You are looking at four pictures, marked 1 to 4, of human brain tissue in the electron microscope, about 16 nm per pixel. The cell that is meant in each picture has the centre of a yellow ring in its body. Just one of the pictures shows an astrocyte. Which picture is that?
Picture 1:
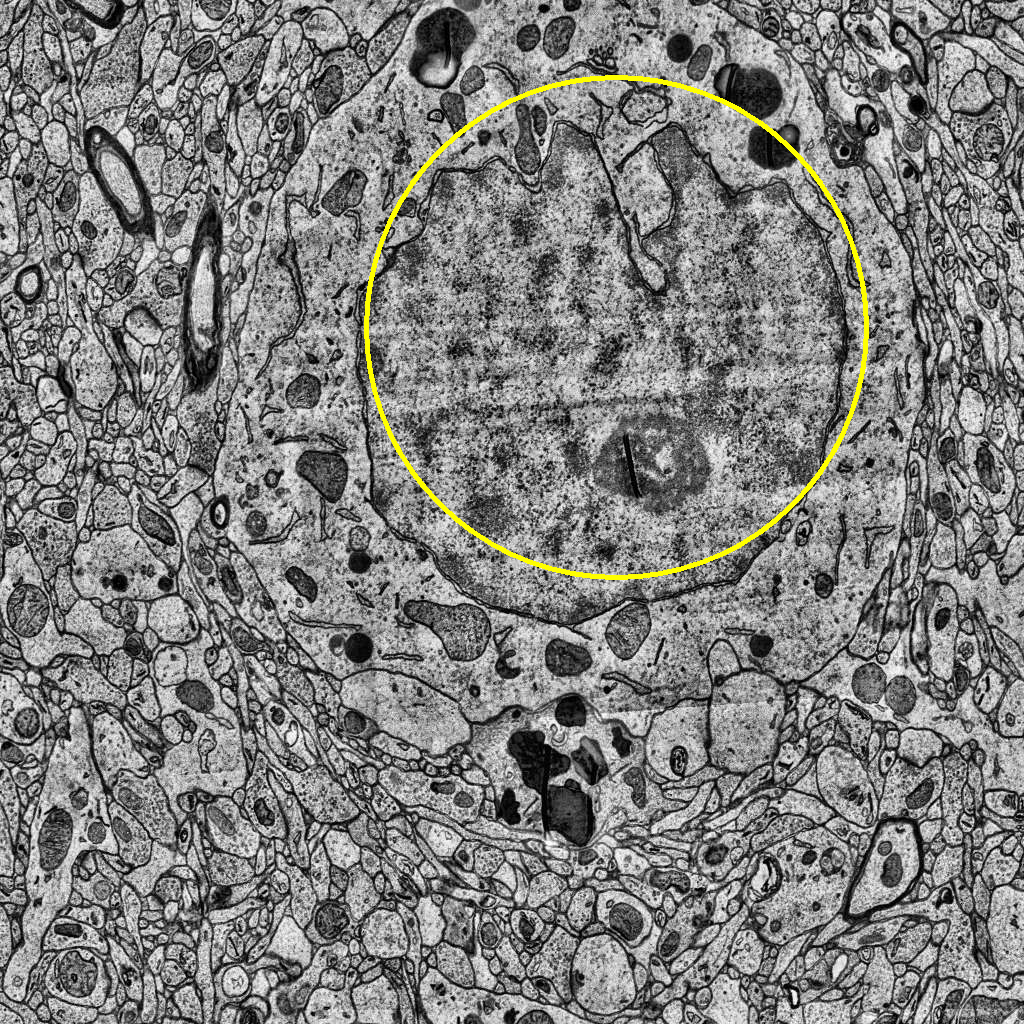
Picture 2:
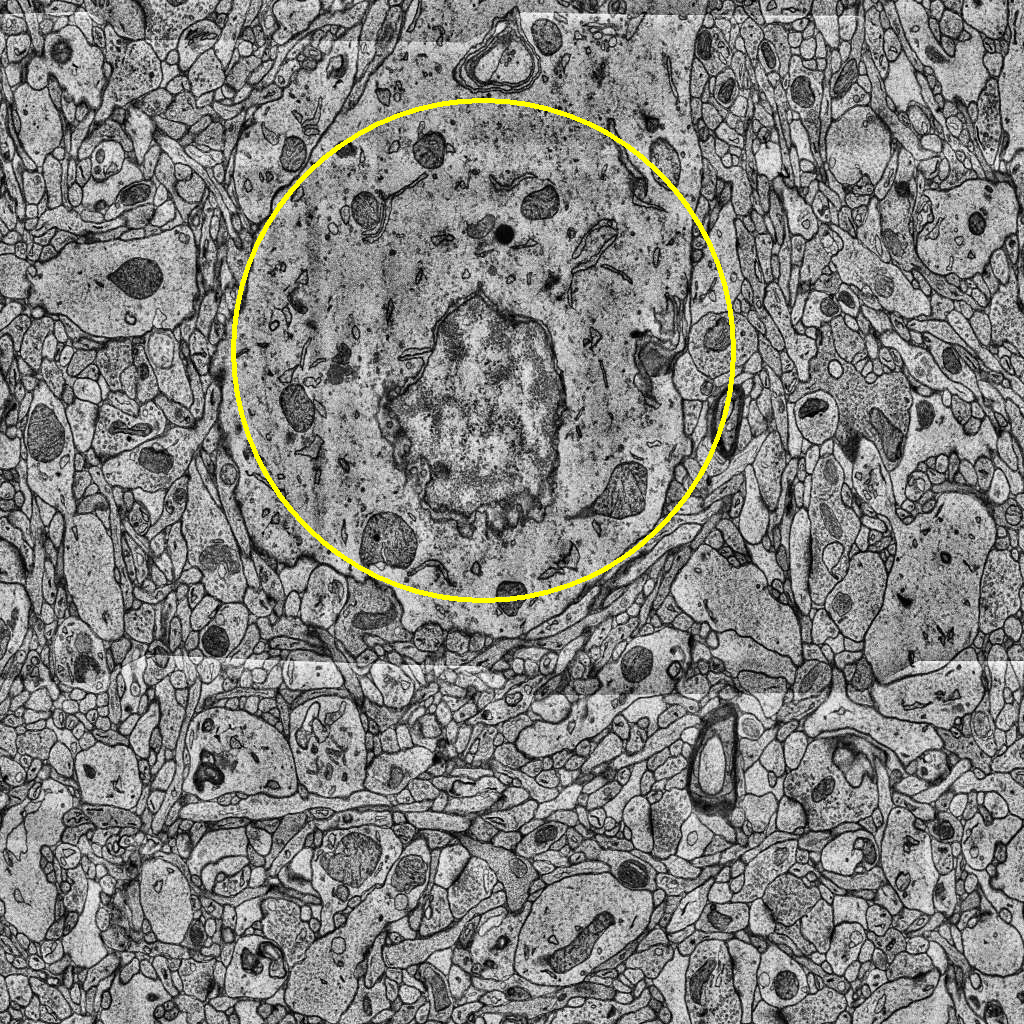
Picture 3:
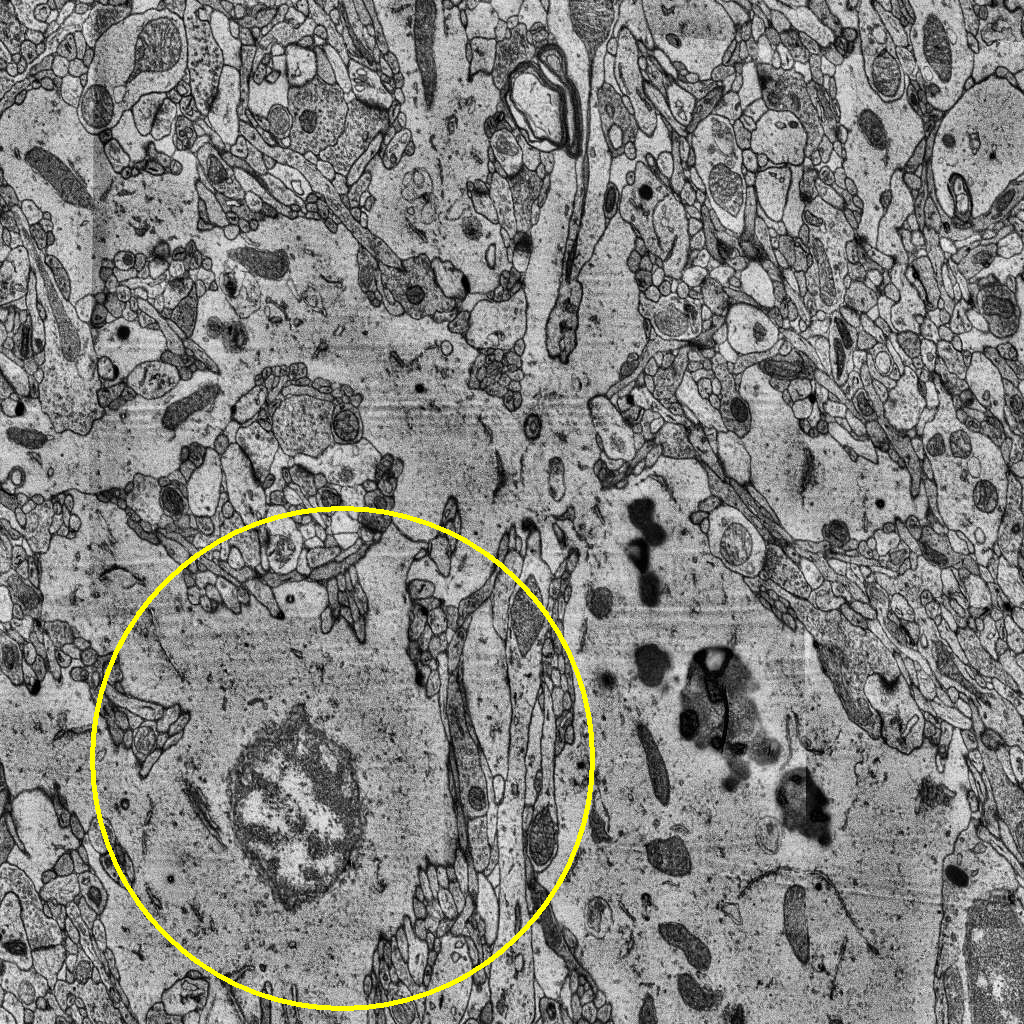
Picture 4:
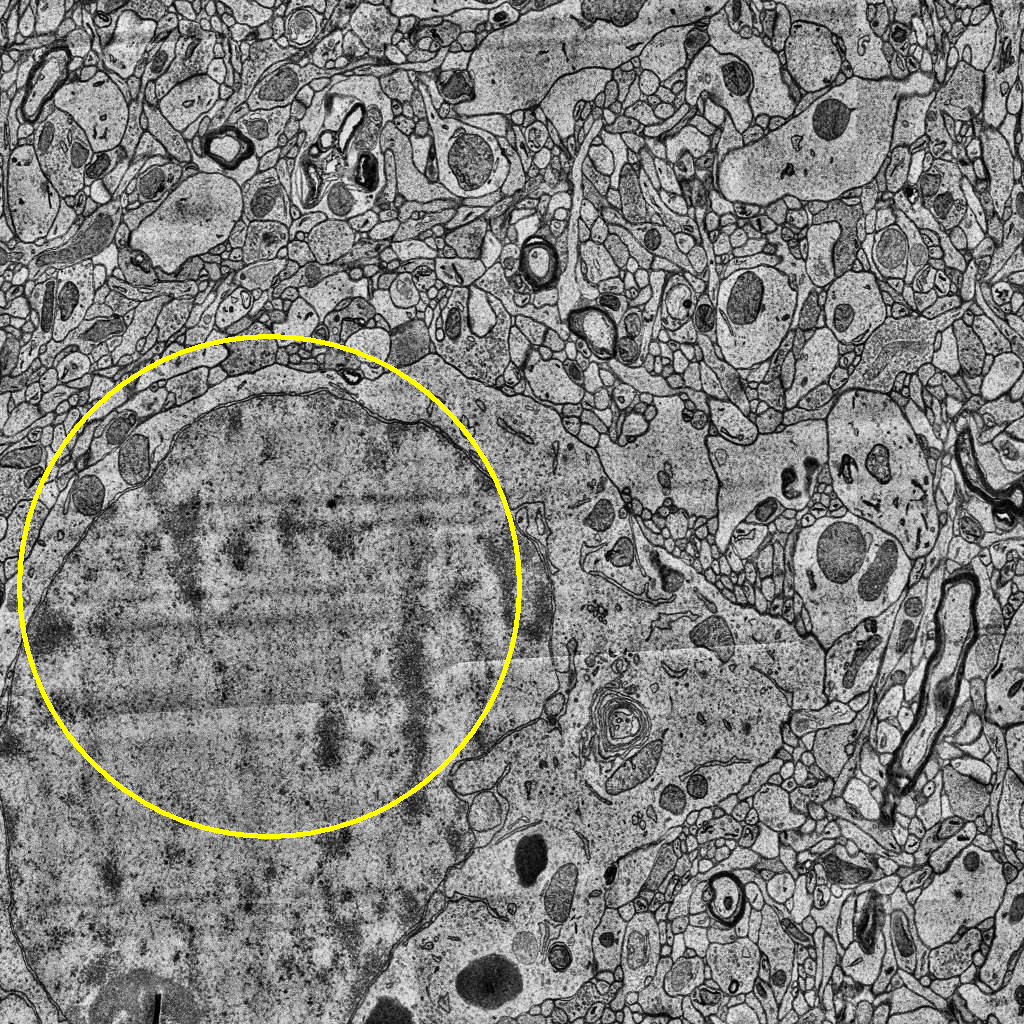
Picture 3 shows the astrocyte.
